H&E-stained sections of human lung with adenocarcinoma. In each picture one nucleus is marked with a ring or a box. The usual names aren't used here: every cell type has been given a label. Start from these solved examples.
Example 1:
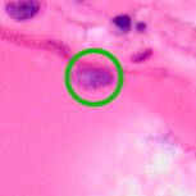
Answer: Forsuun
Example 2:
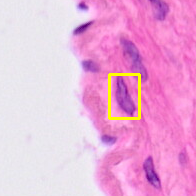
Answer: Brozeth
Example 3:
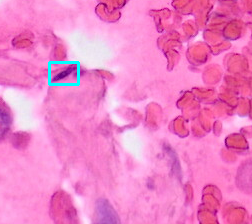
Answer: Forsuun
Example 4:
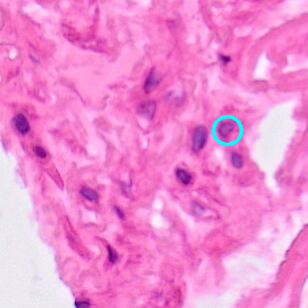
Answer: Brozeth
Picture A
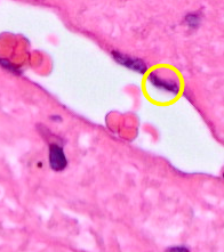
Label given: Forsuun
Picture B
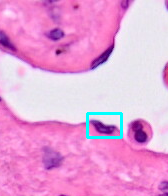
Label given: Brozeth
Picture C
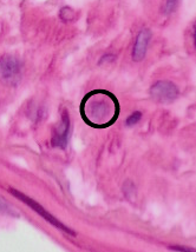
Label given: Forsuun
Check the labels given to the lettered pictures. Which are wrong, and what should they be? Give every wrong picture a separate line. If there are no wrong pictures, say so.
B: not Brozeth but Forsuun
C: not Forsuun but Brozeth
